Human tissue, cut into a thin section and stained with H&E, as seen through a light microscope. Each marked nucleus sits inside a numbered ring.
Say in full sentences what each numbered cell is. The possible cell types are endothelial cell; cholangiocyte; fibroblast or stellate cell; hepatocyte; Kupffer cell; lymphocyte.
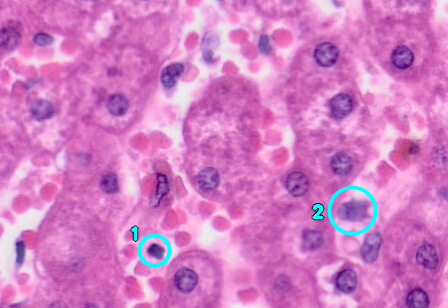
Cell 1 is a lymphocyte and cell 2 is an endothelial cell.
